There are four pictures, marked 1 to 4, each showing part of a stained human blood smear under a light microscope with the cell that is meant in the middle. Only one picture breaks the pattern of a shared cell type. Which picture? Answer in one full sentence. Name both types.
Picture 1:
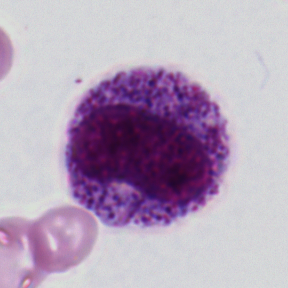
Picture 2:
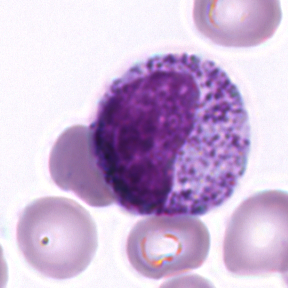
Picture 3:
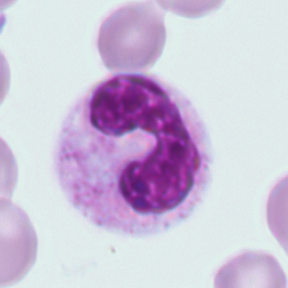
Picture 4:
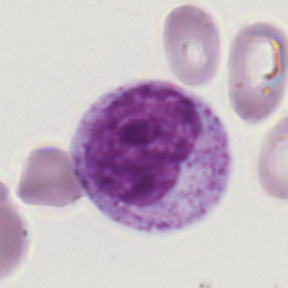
All pictures except 3 show metamyelocytes; picture 3 shows a band neutrophil.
